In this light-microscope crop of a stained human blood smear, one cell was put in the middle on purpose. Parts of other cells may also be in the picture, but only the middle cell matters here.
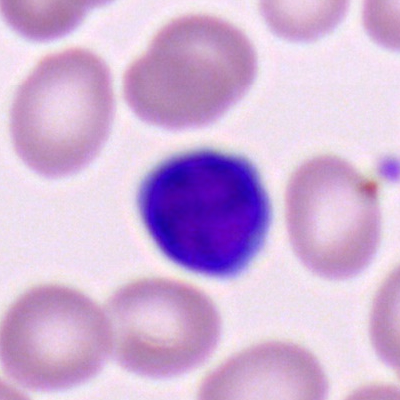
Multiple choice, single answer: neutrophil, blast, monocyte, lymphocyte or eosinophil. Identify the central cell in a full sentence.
At the crop's centre, the cell is a lymphocyte.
